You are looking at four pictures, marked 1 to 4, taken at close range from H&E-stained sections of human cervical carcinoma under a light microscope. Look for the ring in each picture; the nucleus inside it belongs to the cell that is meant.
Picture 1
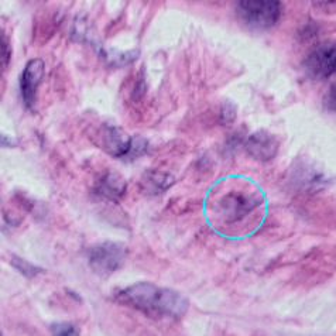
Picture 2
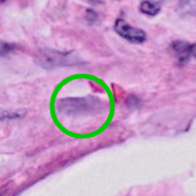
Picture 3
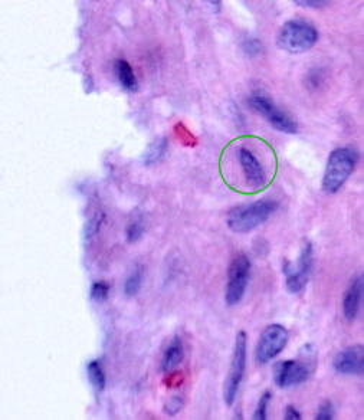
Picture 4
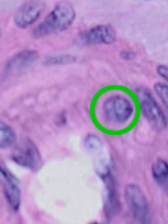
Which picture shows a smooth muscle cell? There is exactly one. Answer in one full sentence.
The picture with the smooth muscle cell is 4.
